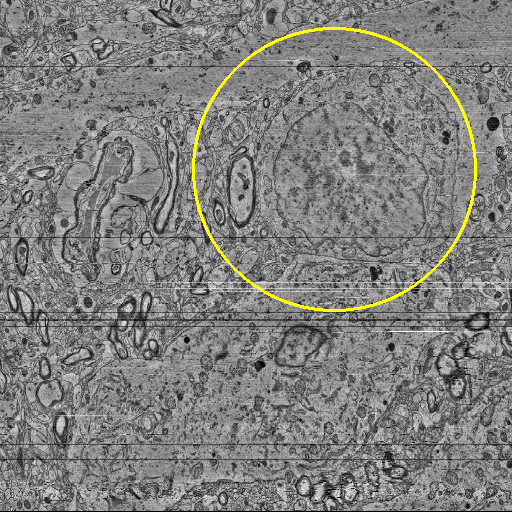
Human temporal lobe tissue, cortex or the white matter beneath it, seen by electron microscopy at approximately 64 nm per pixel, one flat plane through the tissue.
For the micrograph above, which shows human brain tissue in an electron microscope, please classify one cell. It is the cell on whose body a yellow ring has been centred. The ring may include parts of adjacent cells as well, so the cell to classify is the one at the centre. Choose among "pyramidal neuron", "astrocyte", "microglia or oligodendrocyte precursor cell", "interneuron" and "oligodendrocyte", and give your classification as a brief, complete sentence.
I classify this cell as an interneuron.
